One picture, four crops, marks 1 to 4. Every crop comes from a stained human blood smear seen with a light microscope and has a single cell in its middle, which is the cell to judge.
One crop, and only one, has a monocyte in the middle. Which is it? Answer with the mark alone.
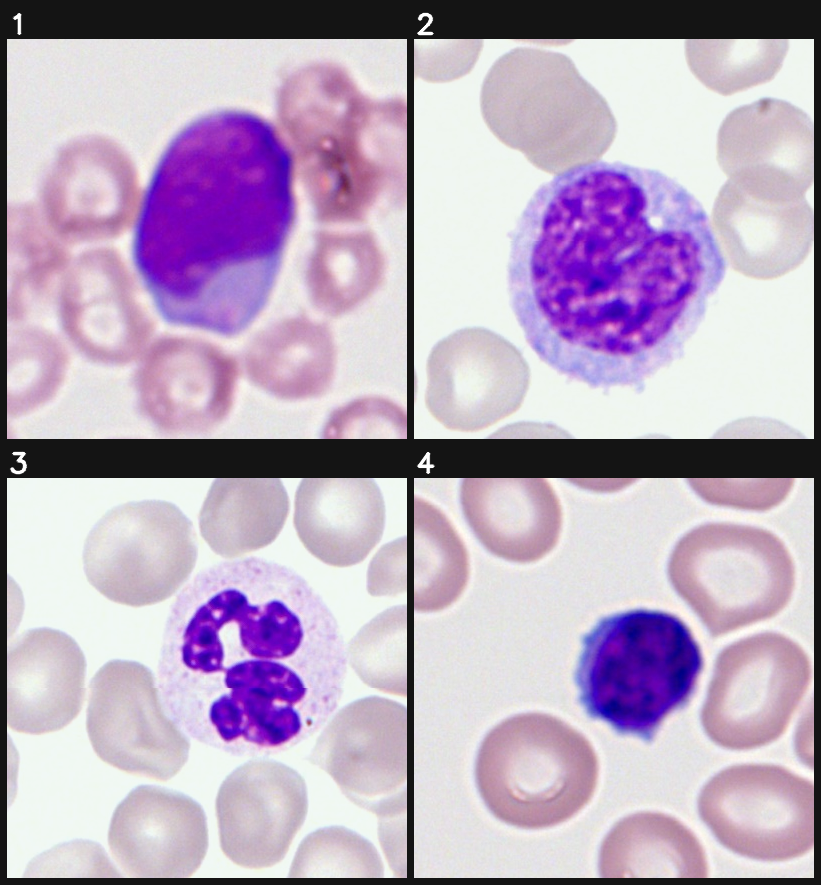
2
